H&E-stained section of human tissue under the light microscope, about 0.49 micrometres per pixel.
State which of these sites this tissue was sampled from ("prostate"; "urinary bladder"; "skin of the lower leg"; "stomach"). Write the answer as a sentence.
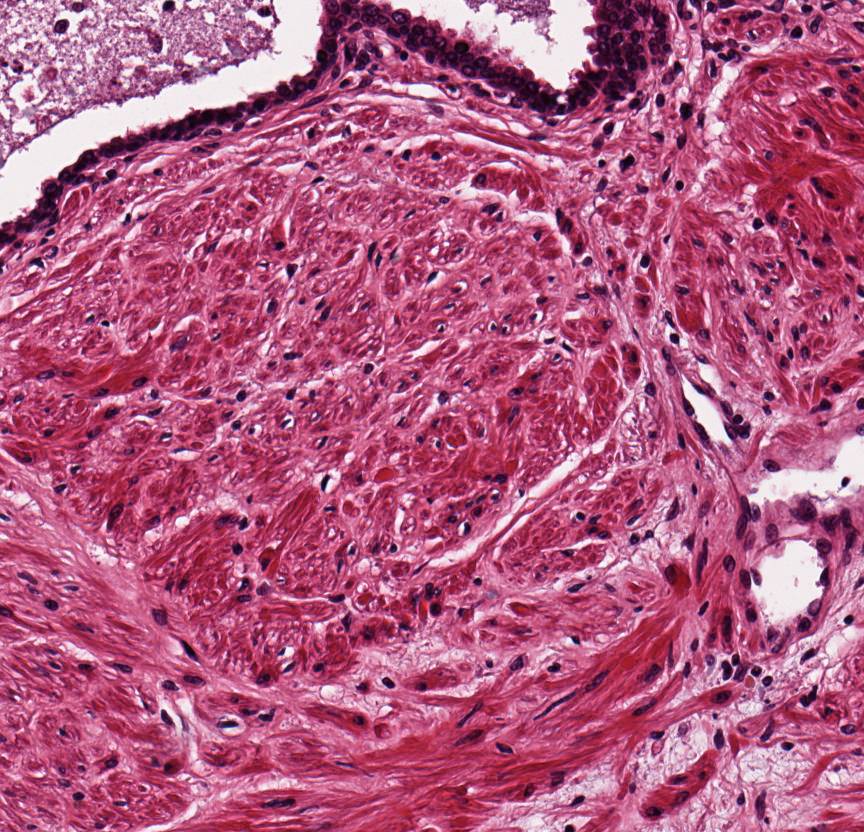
The site this tissue was sampled from is the prostate.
